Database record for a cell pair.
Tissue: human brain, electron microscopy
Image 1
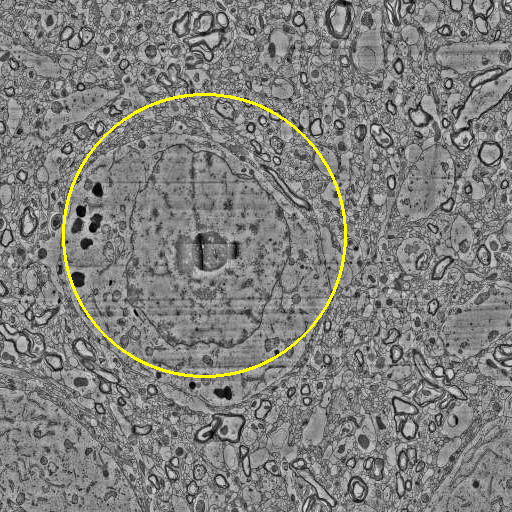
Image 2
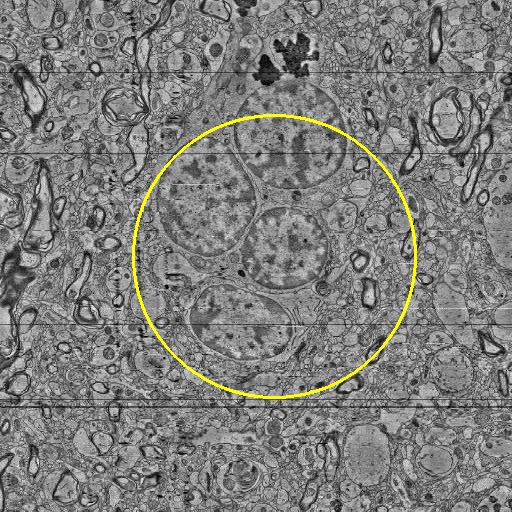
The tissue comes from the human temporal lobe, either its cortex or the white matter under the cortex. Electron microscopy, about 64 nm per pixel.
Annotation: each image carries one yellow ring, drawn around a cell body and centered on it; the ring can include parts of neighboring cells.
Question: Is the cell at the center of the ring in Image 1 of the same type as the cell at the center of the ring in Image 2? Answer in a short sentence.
No, the cells are of two types.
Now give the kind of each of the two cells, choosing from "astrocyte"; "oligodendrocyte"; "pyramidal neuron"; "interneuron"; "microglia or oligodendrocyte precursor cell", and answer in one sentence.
The cell in the first picture is a pyramidal neuron, and the cell in the second is an oligodendrocyte.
